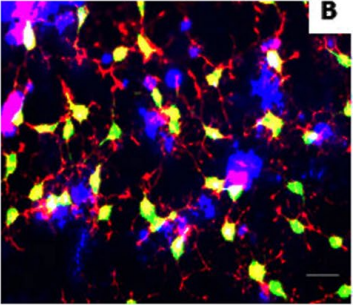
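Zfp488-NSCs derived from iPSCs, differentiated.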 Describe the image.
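Cultured oligodendrocyte-lineage cells seen by fluorescence, spread as a loose network on a dark background. Many small, compact cell bodies glow green or yellow where green and red overlap. From them radiate numerous fine red processes that branch repeatedly, giving a star-like, multipolar outline to each cell; the processes of neighbouring cells approach and interweave. Blue nuclei are scattered among them, some in larger diffuse blue-magenta clusters without red processes. The cell bodies are roughly even in size and spaced apart rather than packed.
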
